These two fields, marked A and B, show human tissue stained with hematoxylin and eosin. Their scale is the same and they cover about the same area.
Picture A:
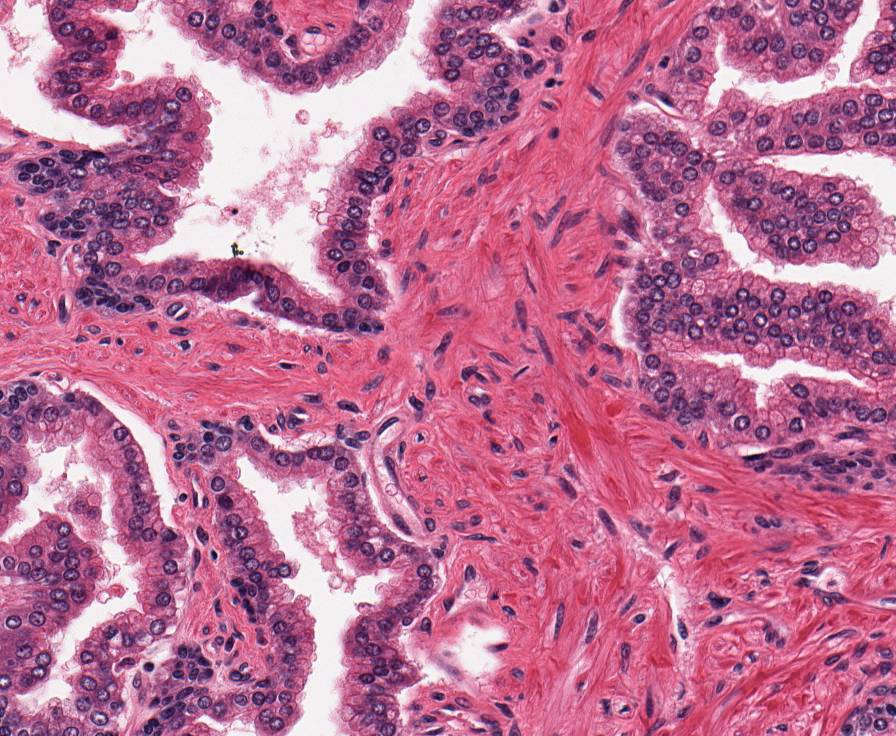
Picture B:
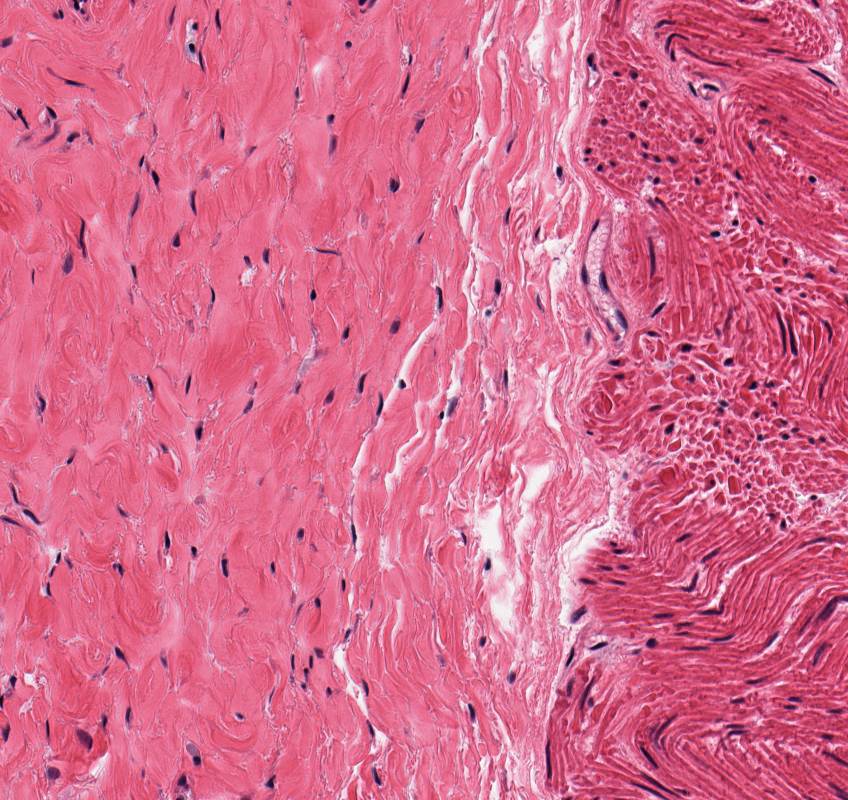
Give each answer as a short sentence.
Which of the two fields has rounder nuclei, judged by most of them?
On the whole the nuclei of picture A are rounder than those of picture B.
